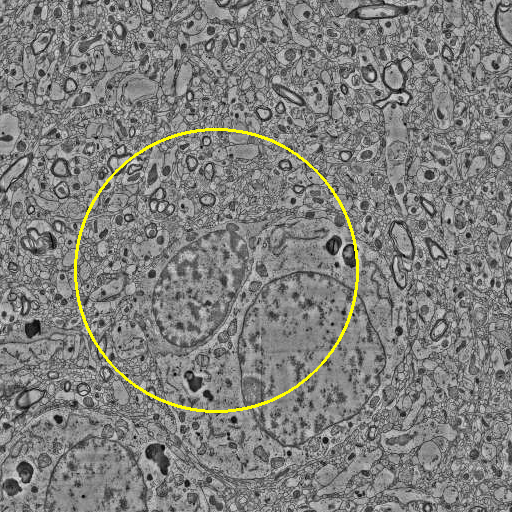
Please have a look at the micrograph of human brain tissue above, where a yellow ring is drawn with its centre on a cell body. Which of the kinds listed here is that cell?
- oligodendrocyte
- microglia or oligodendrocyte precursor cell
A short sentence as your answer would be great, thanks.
At the centre of the ring sits an oligodendrocyte.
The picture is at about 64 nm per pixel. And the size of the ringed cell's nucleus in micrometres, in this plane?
In this plane the nucleus is about 7 micrometres by 5.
